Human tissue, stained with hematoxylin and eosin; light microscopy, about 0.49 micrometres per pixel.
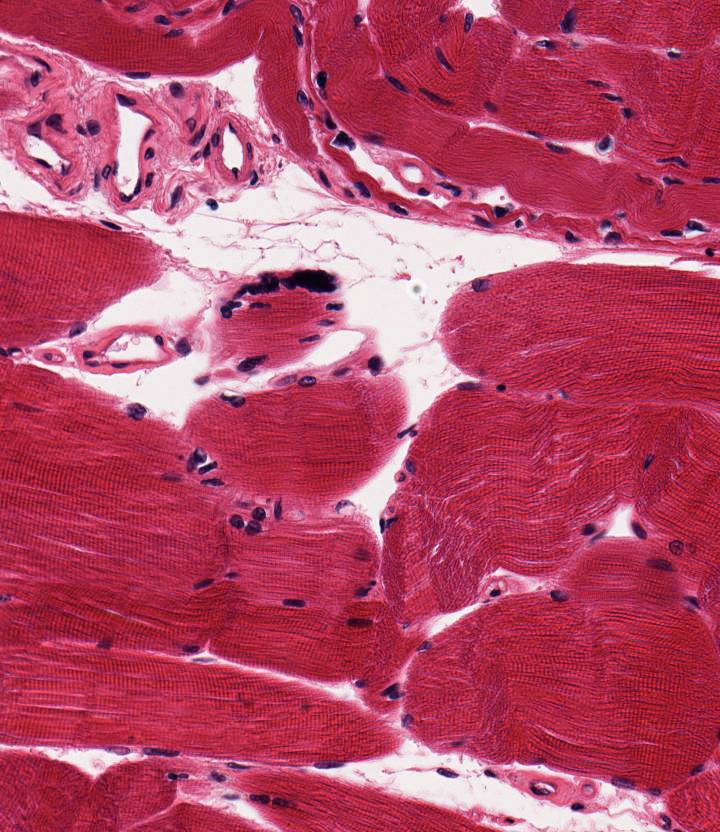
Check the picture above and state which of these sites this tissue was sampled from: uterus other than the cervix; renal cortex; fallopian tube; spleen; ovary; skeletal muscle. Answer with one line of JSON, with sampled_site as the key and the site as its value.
{"sampled_site": "skeletal muscle"}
